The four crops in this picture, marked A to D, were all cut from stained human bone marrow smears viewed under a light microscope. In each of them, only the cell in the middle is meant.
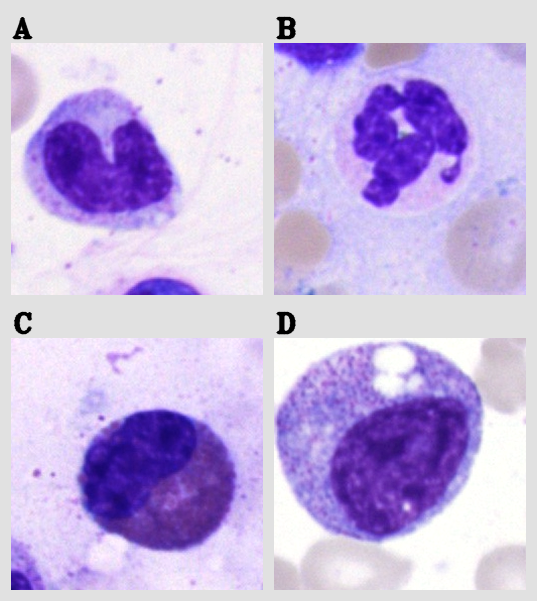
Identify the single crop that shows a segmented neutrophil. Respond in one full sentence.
Within this set, crop B is the one with a segmented neutrophil at its center.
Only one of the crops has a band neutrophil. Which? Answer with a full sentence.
It is in crop A that a band neutrophil is shown.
